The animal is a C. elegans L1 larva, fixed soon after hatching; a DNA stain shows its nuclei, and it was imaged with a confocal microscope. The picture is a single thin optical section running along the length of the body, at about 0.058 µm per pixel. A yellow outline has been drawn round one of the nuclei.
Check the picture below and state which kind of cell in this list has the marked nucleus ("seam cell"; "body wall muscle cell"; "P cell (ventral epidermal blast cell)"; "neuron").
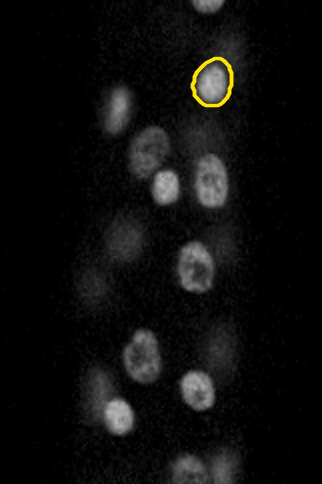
neuron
